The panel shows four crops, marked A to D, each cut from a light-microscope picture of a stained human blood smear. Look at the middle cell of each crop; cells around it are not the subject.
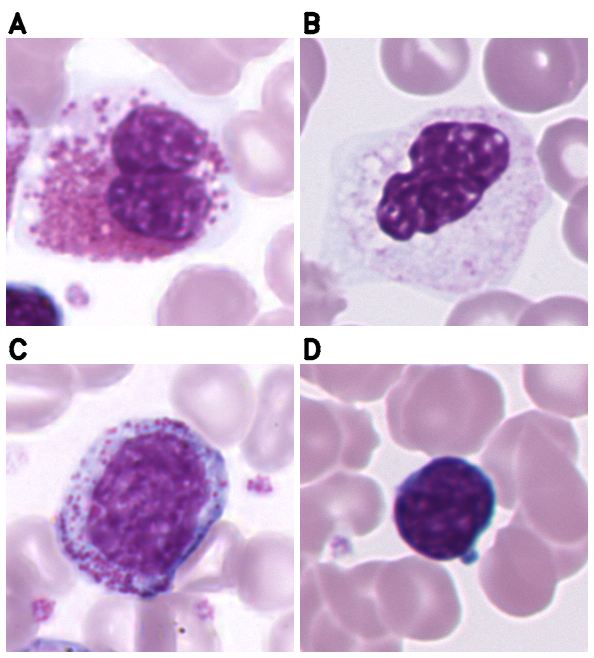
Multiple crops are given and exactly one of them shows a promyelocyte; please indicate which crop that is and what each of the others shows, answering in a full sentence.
Crop by crop: crop C is a promyelocyte, while crop A is an eosinophil, crop B is a segmented neutrophil and crop D is a typical lymphocyte.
